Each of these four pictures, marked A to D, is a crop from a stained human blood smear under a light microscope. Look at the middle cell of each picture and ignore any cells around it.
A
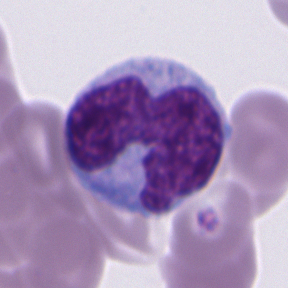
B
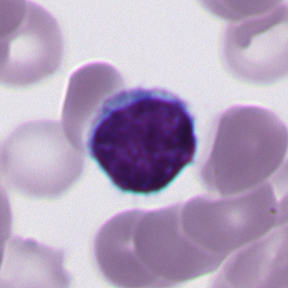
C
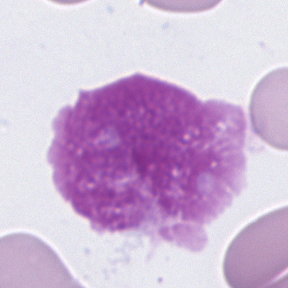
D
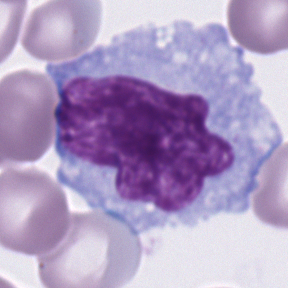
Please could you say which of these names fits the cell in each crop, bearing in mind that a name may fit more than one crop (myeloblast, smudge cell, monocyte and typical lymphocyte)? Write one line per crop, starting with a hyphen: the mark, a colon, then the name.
- A: monocyte
- B: typical lymphocyte
- C: smudge cell
- D: monocyte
